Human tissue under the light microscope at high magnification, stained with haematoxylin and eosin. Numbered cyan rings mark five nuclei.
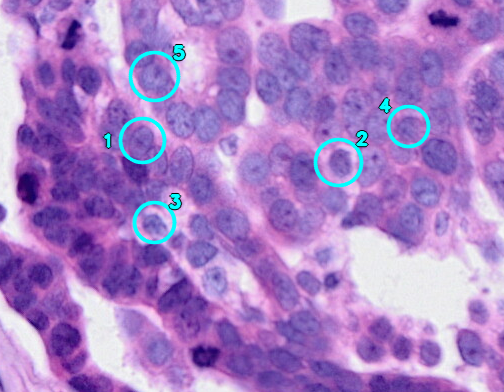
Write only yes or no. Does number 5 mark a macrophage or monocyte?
no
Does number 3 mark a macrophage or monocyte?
yes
